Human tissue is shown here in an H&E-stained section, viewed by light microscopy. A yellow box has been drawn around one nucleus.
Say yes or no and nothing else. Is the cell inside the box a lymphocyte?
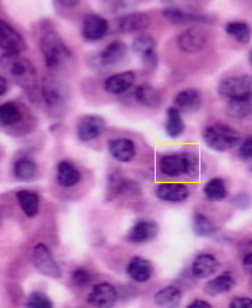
no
